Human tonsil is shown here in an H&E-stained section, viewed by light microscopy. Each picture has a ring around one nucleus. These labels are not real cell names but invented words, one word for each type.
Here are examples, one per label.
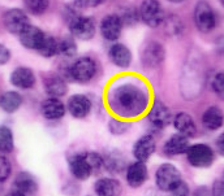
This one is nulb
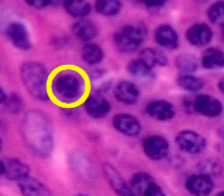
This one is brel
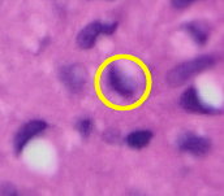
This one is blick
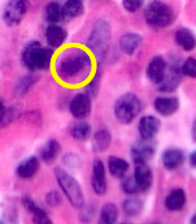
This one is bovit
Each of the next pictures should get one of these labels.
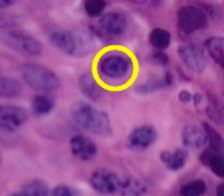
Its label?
brel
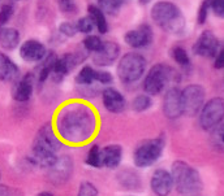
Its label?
bovit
